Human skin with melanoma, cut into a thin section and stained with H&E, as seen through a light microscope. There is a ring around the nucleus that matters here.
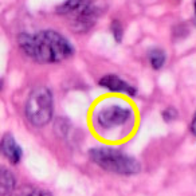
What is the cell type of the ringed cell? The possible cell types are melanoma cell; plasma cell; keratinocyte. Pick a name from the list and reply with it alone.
melanoma cell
